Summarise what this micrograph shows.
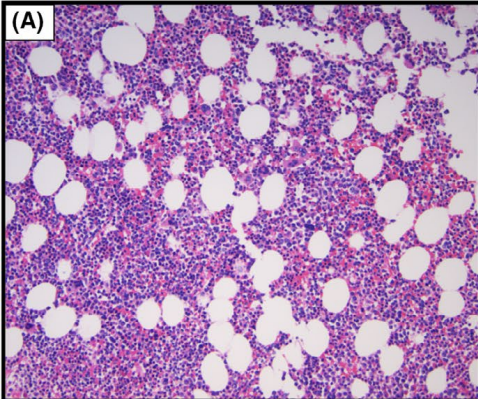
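Bone marrow infiltrated by small, mature lymphocytes, densely packed between numerous round, clear fat spaces. The cells have small, round, dark purple nuclei and little cytoplasm, with scattered pink-staining areas among them.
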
